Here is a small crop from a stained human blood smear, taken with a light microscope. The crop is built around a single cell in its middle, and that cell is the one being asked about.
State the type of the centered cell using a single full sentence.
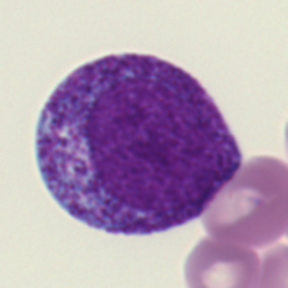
Here the cell in the middle is a promyelocyte.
